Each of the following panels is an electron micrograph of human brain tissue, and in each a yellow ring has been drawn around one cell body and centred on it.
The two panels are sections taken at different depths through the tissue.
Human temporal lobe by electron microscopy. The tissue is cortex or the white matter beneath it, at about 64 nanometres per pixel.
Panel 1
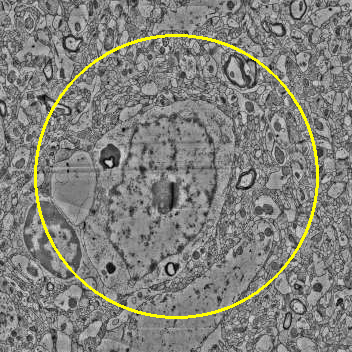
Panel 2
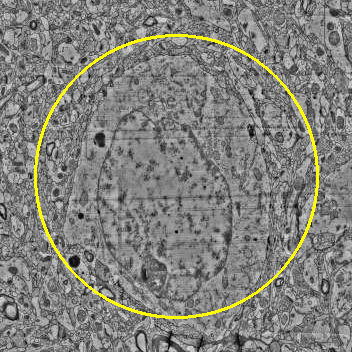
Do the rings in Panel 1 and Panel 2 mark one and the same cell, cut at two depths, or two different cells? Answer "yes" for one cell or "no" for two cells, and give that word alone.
no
